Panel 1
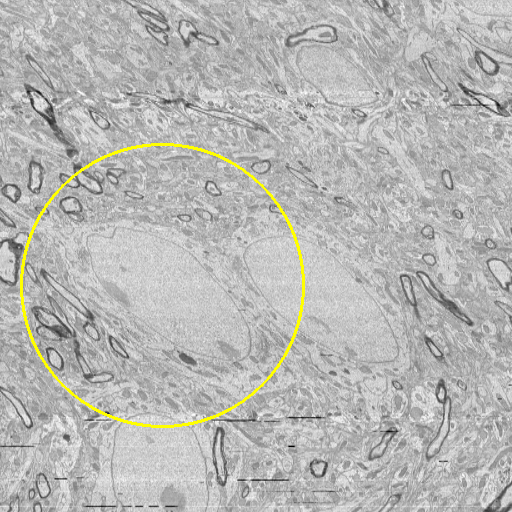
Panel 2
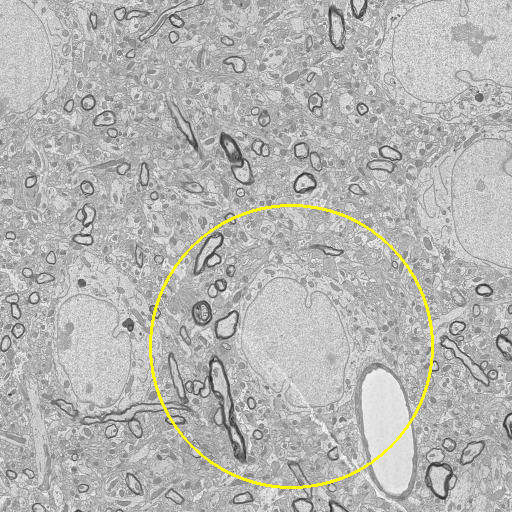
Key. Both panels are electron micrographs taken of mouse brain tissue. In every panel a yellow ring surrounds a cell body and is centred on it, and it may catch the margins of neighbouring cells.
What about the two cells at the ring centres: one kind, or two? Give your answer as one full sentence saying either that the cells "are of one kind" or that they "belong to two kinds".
Across Panels 1 and 2, the two cells at the ring centres are of one kind.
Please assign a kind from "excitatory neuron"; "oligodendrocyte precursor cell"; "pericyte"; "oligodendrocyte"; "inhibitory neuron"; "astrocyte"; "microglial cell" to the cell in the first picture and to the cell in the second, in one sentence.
Each of the two pictures has an excitatory neuron at the ring centre.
